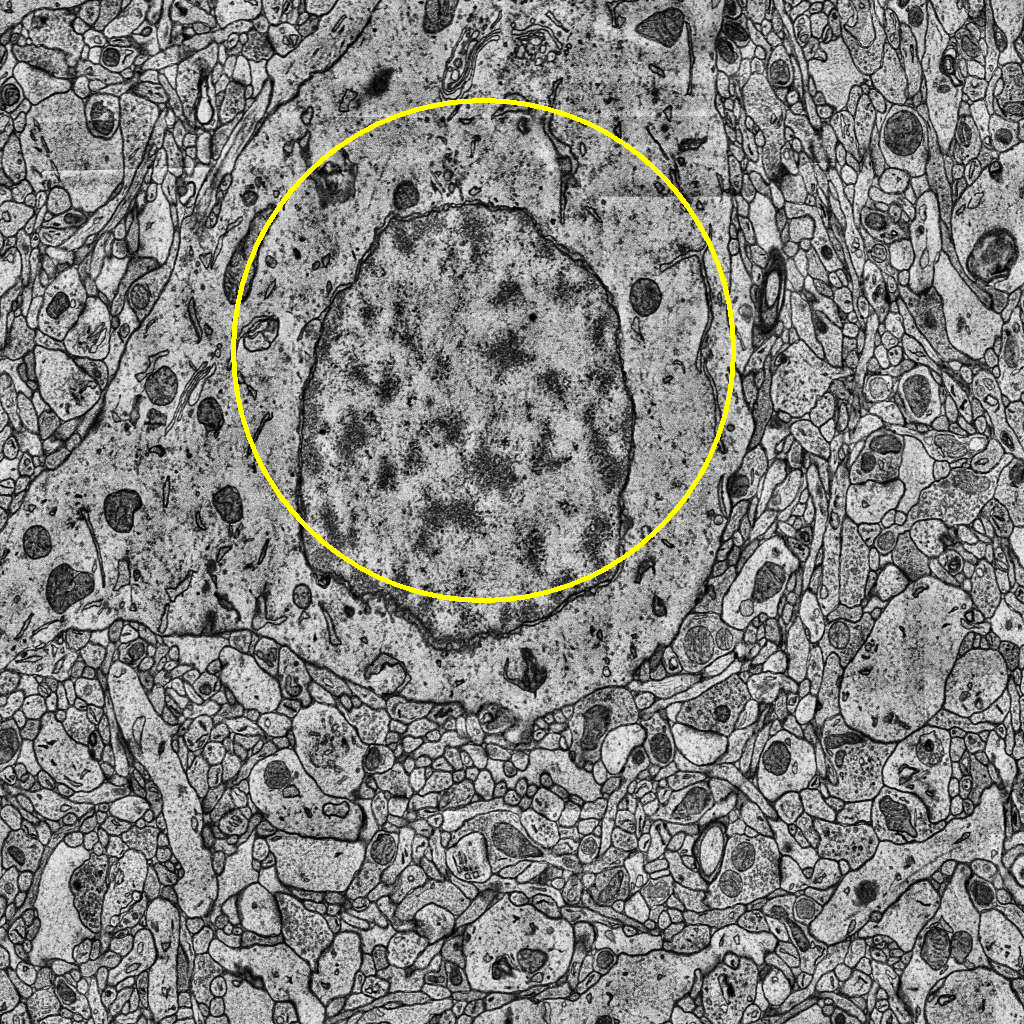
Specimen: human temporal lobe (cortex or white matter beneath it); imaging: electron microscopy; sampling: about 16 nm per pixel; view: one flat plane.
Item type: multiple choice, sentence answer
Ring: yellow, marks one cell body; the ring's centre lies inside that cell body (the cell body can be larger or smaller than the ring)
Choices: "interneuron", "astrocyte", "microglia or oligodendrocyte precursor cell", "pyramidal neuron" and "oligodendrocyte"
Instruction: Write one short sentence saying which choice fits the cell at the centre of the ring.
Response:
The centre of this ring lies on a pyramidal neuron.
